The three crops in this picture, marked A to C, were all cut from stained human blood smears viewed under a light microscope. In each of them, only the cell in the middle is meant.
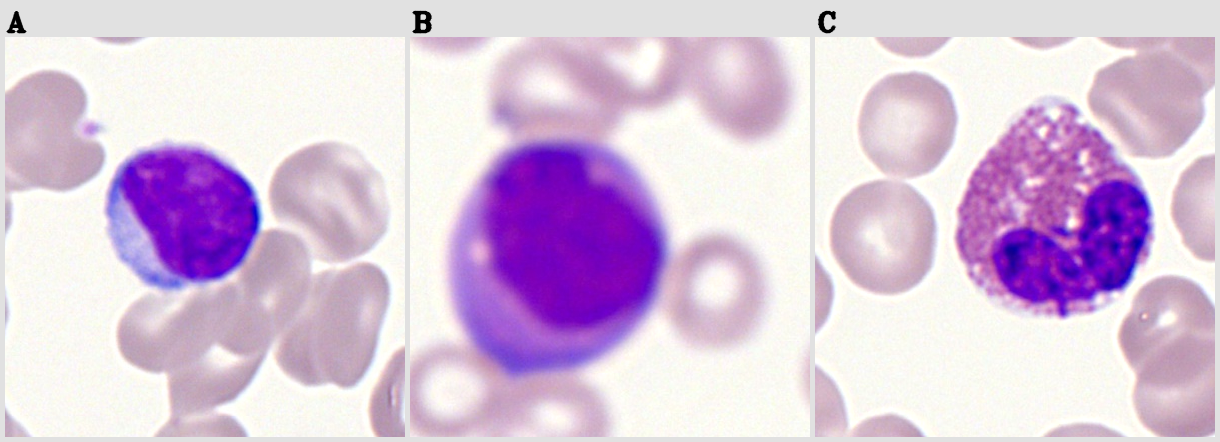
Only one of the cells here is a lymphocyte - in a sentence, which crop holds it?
The one that shows a lymphocyte is crop A.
